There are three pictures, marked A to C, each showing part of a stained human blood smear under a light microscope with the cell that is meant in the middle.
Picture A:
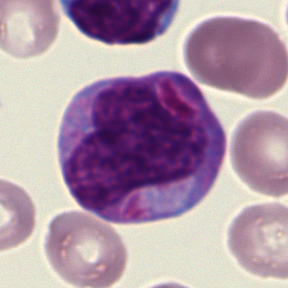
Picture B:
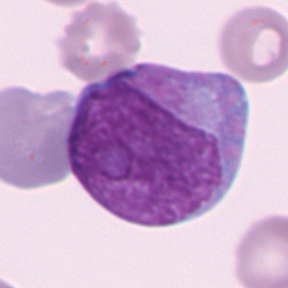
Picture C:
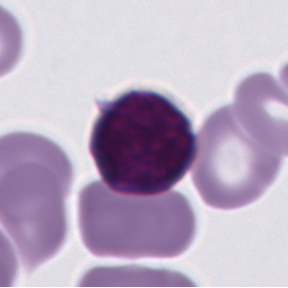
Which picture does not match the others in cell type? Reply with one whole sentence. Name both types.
The different one is picture C; it shows a myeloblast, whereas all the others show atypical promyelocytes.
